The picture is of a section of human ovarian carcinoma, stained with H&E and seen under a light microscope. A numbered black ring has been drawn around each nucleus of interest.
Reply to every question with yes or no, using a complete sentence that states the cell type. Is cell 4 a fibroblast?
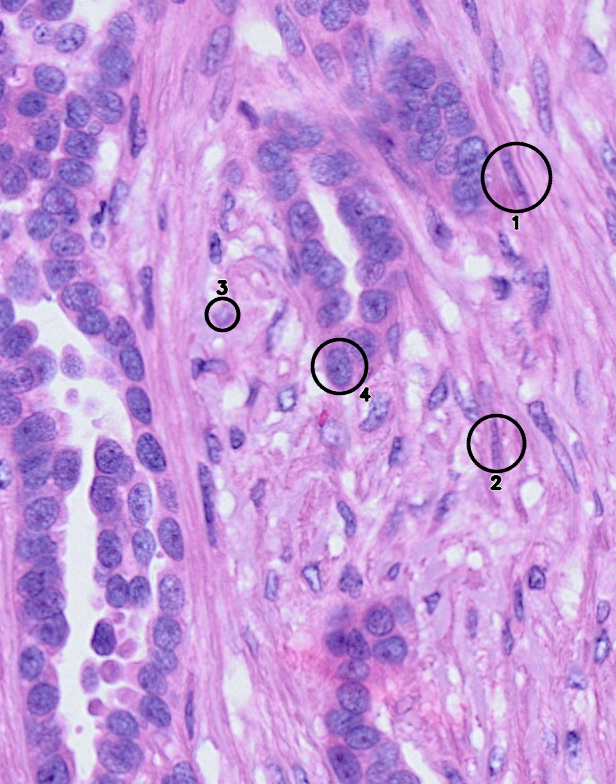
No, the cell under number 4 is a carcinoma cell, not a fibroblast.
